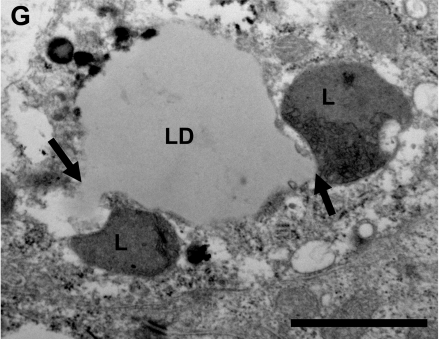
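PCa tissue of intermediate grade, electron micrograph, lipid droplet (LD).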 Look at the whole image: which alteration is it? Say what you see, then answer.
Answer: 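A large homogeneous pale droplet is flanked by two dark bodies pressed into its edge. The dark bodies indent the outline of the pale droplet. On this evidence: lipophagy.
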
